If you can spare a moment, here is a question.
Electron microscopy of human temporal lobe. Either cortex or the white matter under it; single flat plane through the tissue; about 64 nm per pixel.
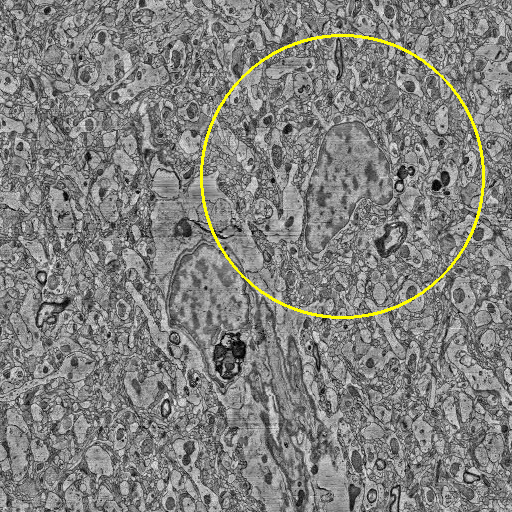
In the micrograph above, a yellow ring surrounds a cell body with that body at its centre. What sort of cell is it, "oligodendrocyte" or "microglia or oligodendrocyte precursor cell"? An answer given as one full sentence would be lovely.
Centred inside the yellow ring, the cell body shown belongs to a microglial cell or oligodendrocyte precursor cell in this micrograph.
